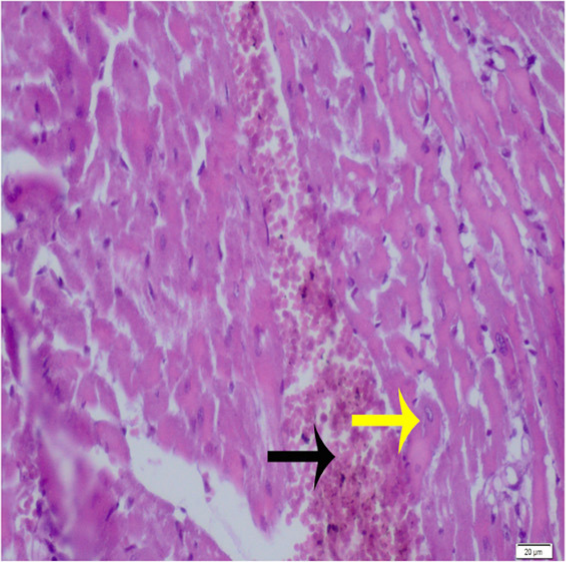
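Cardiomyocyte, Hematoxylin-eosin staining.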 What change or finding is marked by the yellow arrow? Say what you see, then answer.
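The arrow points at a muscle fibre with a pale, poorly defined nucleus.
Answer: Necrotic cells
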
